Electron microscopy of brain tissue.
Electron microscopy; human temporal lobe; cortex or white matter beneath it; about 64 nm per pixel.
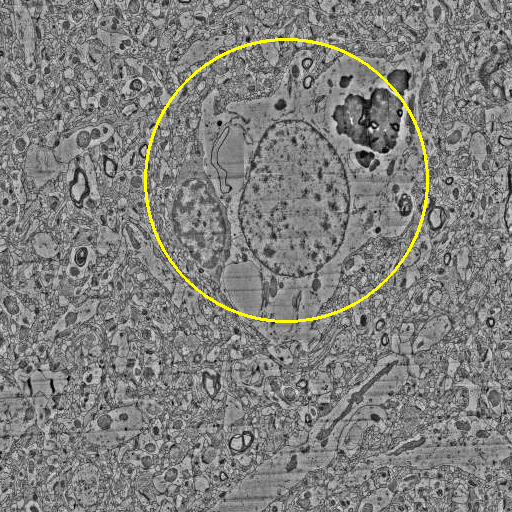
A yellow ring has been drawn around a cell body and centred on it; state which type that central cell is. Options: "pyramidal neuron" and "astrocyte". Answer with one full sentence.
The cell at the middle of the yellow ring is an astrocyte in this picture.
